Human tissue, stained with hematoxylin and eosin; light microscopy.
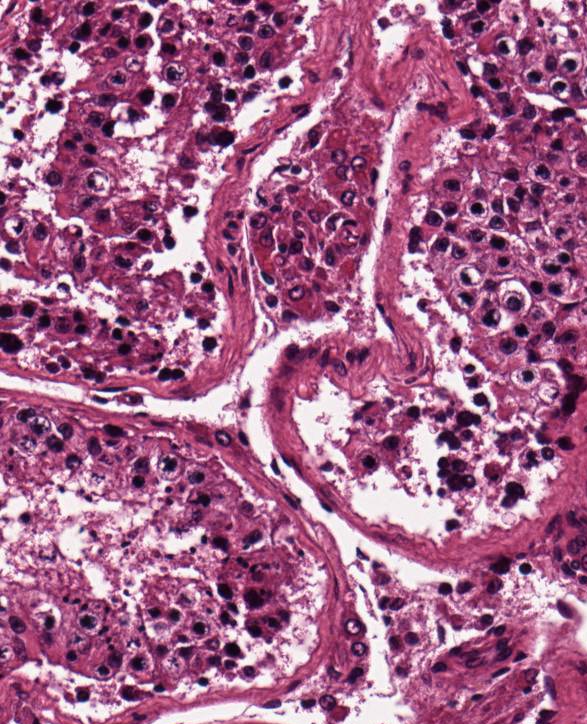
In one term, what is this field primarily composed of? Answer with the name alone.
seminiferous tubule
